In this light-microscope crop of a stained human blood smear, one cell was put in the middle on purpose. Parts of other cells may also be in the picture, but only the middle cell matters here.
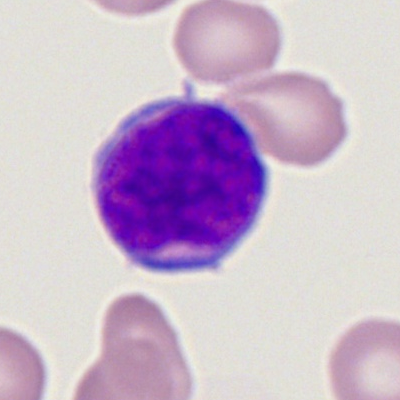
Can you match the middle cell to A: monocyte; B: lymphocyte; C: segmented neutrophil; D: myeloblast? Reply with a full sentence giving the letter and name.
The best answer is option D, since the cell in the middle is a myeloblast.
